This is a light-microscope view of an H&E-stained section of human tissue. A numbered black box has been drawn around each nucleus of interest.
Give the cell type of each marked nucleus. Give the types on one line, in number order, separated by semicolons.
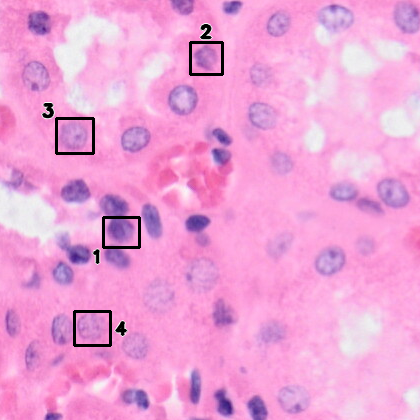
loop of Henle or distal tubule cell; proximal tubule cell; proximal tubule cell; proximal tubule cell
